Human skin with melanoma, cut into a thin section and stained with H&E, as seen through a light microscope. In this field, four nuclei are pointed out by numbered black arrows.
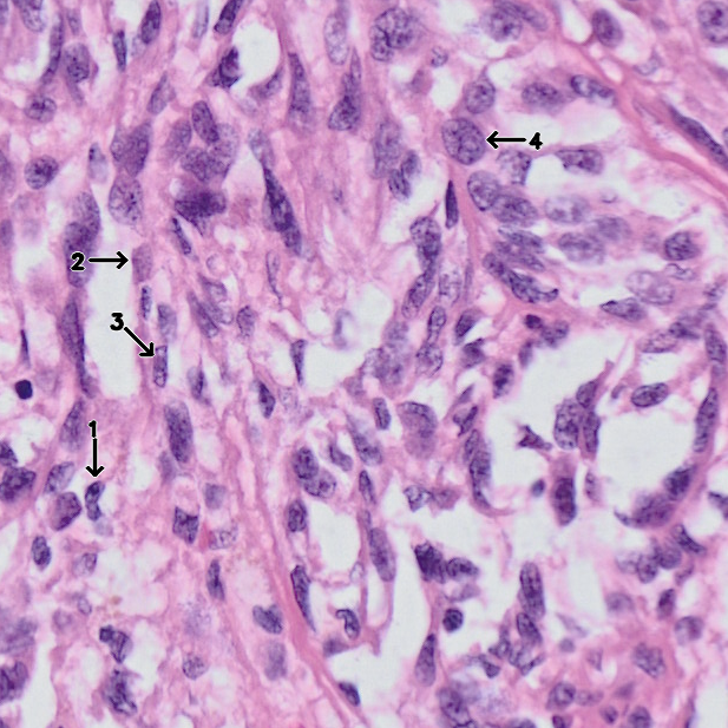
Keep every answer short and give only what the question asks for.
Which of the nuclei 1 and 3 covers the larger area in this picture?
3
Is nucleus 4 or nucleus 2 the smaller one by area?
2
